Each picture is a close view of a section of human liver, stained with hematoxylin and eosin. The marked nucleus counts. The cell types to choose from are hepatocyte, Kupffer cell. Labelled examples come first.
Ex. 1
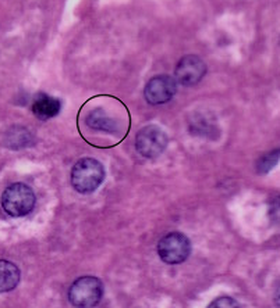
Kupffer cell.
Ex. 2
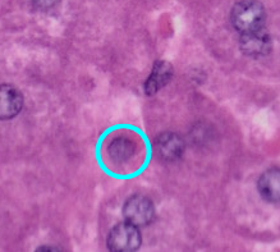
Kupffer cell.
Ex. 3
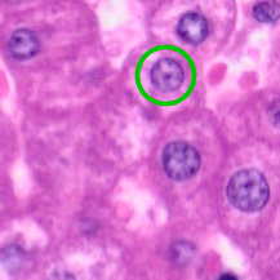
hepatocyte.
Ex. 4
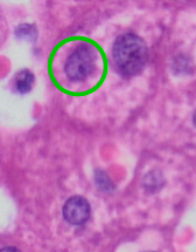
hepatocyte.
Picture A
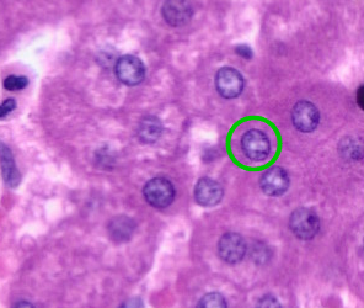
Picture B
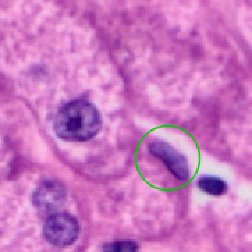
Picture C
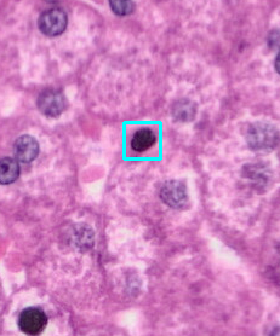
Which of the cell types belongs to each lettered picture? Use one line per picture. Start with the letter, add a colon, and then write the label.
A: hepatocyte.
B: Kupffer cell.
C: Kupffer cell.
